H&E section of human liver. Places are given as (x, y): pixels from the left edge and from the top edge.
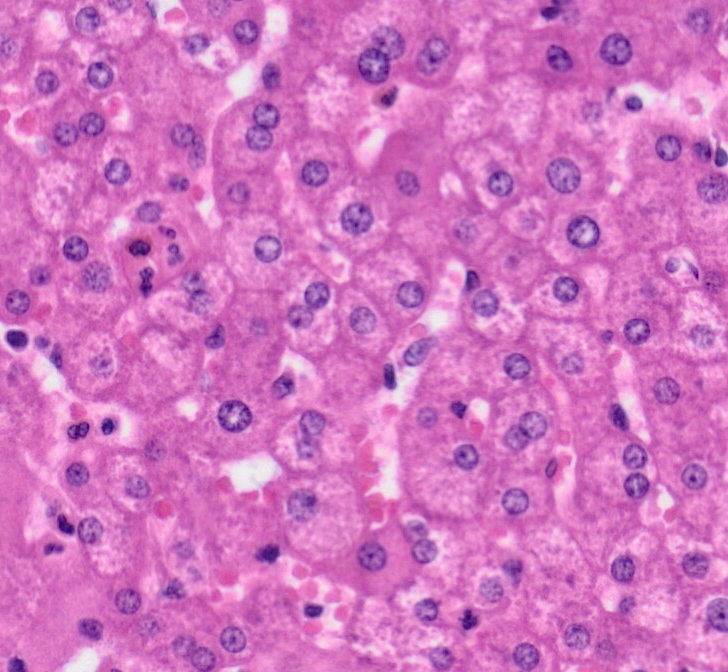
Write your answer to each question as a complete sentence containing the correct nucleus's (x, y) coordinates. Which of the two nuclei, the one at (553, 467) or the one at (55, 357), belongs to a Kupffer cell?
Of the two nuclei, the one at (553, 467) belongs to a Kupffer cell.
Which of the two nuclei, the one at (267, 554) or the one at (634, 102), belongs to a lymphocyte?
The nucleus at (634, 102) is the one that belongs to a lymphocyte.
